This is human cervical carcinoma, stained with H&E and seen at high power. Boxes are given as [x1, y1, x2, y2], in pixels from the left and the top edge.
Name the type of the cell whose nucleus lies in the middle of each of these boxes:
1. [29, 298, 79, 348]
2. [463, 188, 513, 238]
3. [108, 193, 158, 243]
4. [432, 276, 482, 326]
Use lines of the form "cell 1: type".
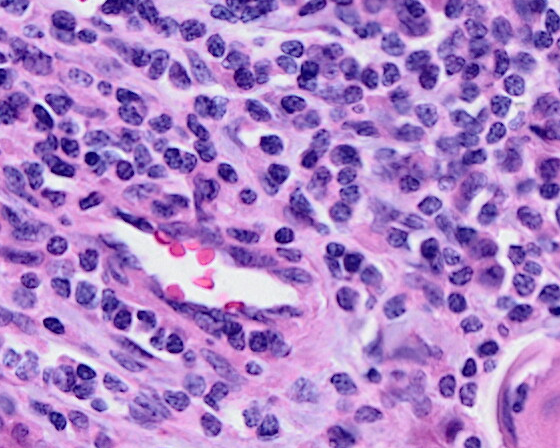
cell 1: lymphocyte
cell 2: lymphocyte
cell 3: endothelial cell
cell 4: lymphocyte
